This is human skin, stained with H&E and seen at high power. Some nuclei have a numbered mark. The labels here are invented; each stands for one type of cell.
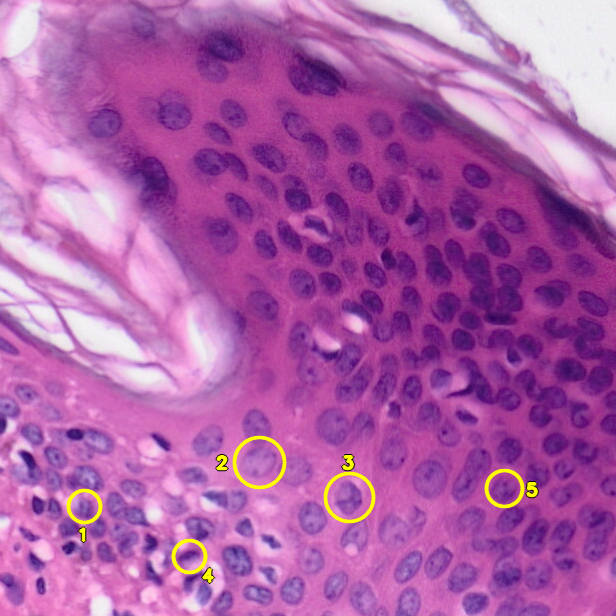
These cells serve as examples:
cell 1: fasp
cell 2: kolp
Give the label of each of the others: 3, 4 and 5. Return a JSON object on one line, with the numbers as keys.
{"3": "kolp", "4": "fasp", "5": "kolp"}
